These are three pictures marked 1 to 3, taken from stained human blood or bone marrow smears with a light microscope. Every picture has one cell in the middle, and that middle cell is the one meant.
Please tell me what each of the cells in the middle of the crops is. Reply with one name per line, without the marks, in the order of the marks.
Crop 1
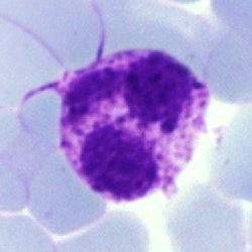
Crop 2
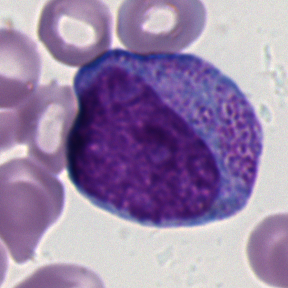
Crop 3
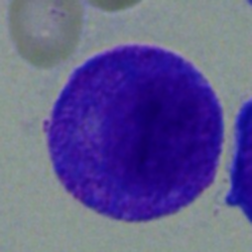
basophil
promyelocyte
promyelocyte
